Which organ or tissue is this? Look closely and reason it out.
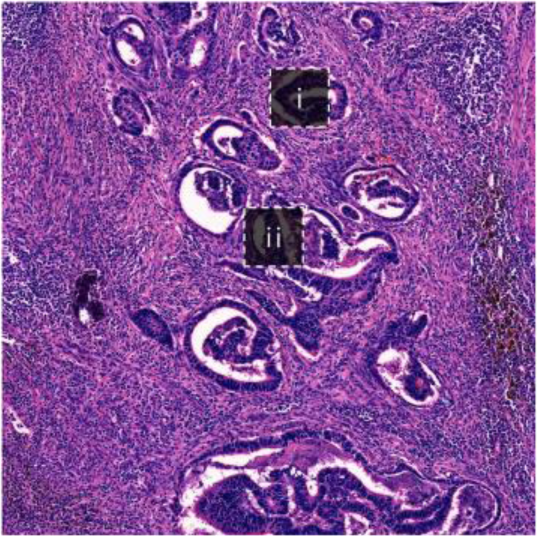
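Irregular glands of varying shape are scattered through a cellular stroma. Glands are lined by crowded dark nuclei, some with debris in the lumen. Dense sheets of small dark cells fill parts of the stroma. So: colon cancer tissue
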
